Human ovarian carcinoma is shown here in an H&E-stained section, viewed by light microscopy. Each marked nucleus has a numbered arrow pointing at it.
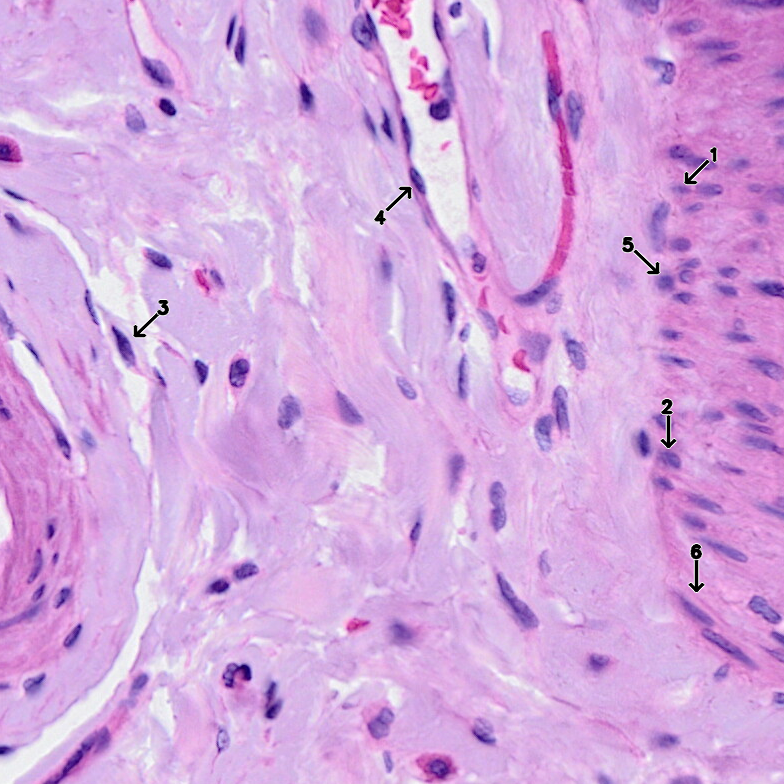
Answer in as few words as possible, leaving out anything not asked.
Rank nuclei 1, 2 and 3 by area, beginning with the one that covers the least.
1, 2, 3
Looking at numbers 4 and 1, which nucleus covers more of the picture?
4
